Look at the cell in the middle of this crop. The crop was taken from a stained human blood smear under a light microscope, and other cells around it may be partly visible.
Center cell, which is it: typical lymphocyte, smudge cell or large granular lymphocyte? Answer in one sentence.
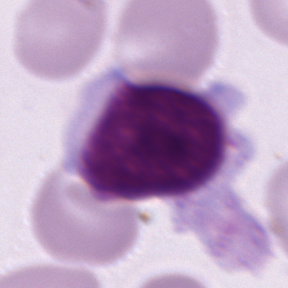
At the crop's centre, the cell is a large granular lymphocyte.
